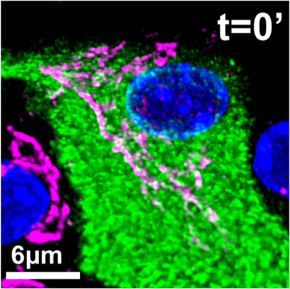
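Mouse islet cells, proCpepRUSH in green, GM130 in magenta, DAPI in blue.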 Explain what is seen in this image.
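A magenta ribbon-like network lies close to one side of the nucleus and partly overlaps the green. Parts of neighbouring cells with blue nuclei and magenta perinuclear ribbons show at the edges.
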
